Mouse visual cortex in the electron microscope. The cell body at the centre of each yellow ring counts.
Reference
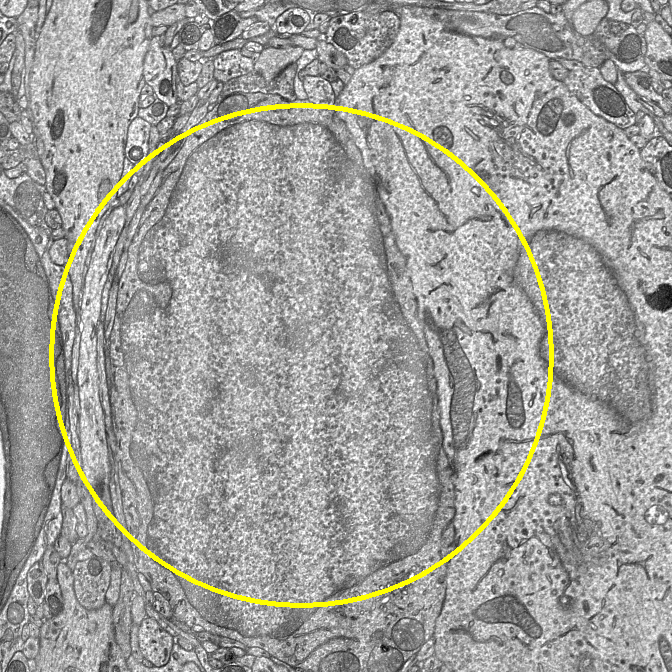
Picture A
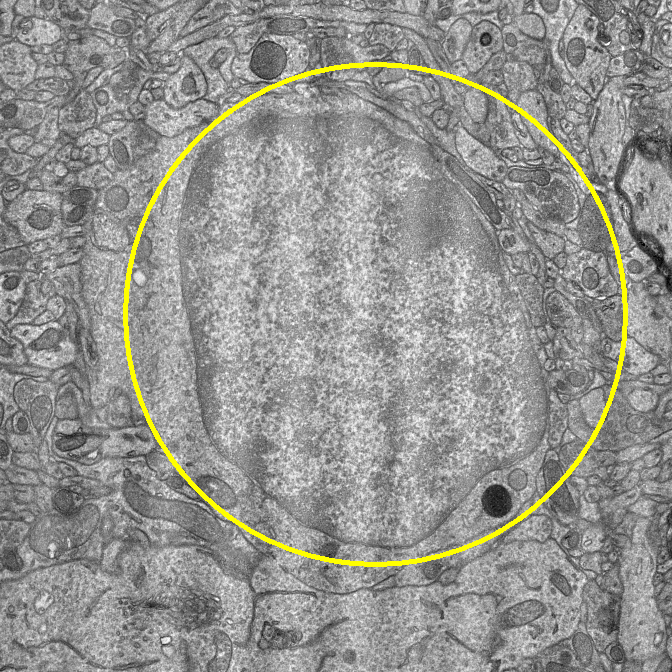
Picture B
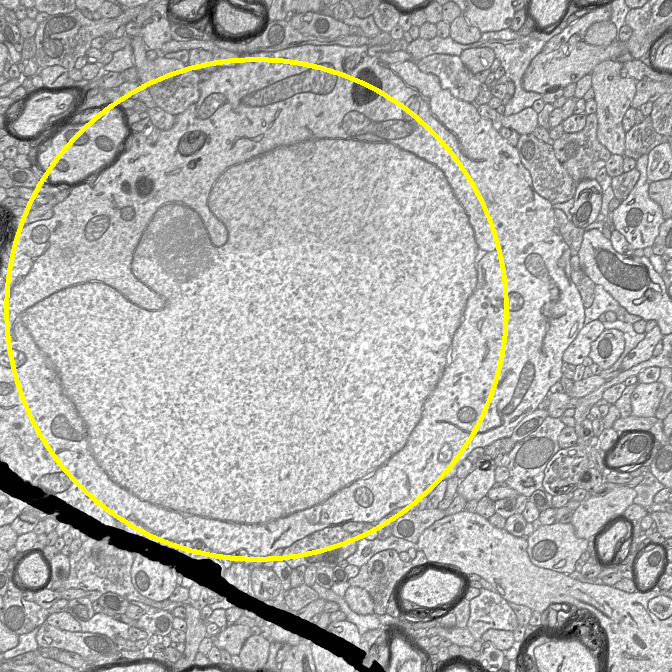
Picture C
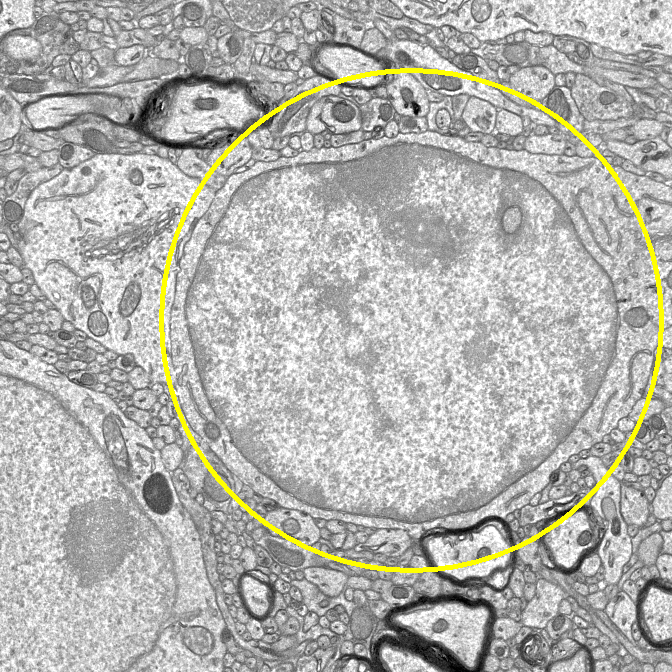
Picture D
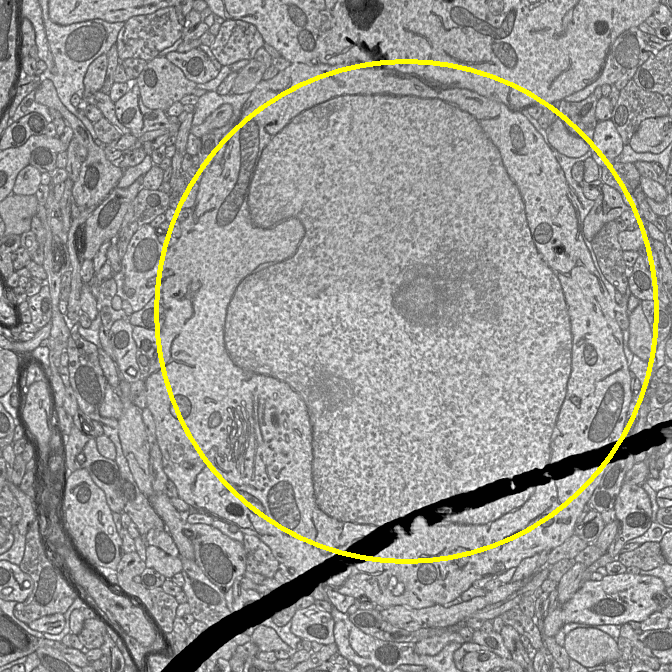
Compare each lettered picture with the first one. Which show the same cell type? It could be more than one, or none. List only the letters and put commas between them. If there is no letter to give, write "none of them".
A, C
